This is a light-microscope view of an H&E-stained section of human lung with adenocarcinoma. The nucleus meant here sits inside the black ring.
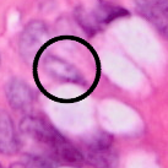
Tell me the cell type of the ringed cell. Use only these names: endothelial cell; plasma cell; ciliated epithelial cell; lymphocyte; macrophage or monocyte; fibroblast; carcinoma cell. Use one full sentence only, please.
In this tissue sample, the ringed cell is a ciliated epithelial cell.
